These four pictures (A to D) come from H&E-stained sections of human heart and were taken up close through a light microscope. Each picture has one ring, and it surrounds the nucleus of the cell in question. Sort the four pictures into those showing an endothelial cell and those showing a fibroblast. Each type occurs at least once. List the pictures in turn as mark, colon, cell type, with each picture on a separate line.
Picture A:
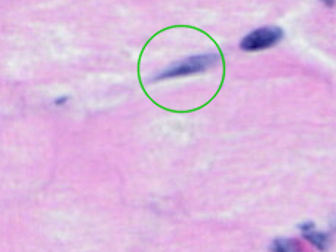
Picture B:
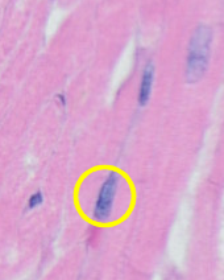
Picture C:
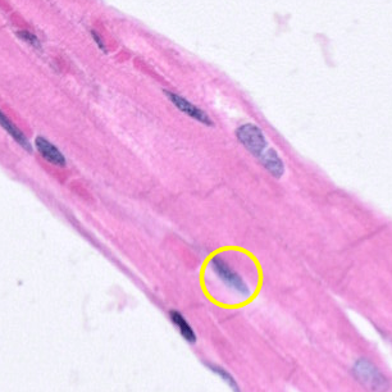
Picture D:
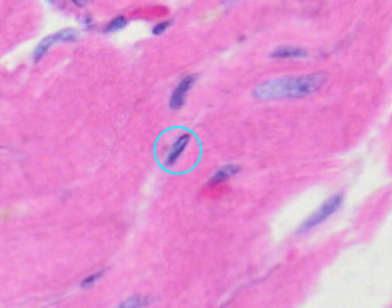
A: endothelial cell
B: endothelial cell
C: fibroblast
D: endothelial cell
